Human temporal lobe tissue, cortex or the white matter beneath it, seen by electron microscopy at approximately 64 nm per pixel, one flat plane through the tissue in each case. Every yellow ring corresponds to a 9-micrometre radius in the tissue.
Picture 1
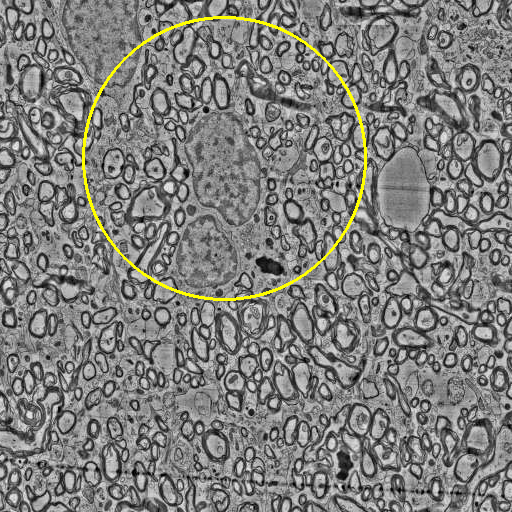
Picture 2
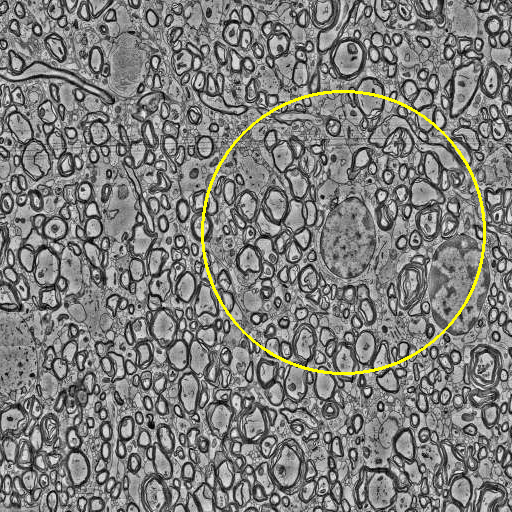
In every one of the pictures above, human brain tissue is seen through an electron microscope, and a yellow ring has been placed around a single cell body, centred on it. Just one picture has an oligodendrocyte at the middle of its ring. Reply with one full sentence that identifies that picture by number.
It is picture 1 that shows the wanted cell at its ring's centre.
